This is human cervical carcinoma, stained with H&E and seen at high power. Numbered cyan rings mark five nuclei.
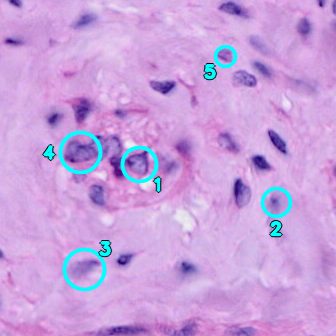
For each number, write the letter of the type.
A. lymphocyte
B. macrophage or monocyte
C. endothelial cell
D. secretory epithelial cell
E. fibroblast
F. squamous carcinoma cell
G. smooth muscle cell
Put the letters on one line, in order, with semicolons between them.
C; E; E; C; E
